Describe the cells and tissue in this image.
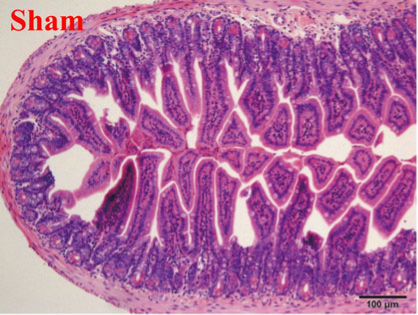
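This is a cross-section of small intestine showing normal mucosa with intestinal villi and glands. Numerous tall, slender villi project from the wall toward the lumen, each lined by a single layer of columnar epithelial cells with purple basal nuclei and a pink core of loose connective tissue. At the base of the villi, crypts or glands sit densely packed in the mucosa. Beneath lies a thin submucosa and an outer band of pink smooth muscle. The villi are regular, closely arranged and intact, with clear spaces of lumen between them and no debris.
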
